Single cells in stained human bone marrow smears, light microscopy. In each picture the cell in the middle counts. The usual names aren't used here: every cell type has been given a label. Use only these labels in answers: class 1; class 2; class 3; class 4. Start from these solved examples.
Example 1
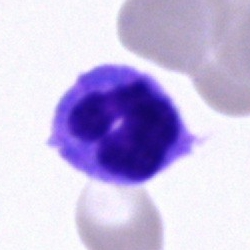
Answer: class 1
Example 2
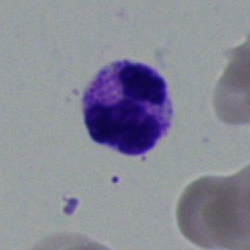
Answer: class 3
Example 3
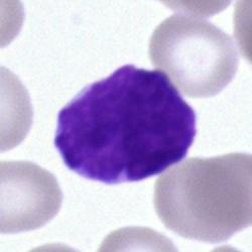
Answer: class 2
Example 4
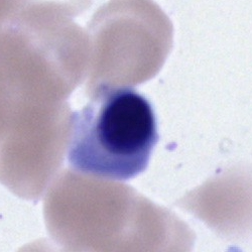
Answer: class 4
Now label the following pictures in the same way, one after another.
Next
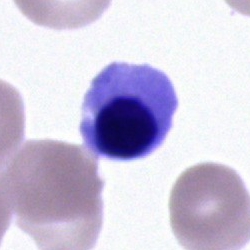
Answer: class 4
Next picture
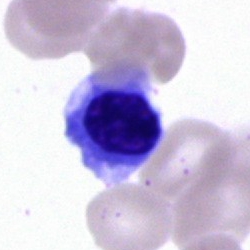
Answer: class 4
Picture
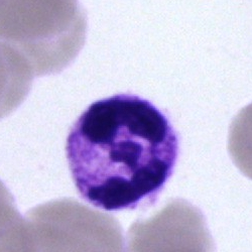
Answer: class 3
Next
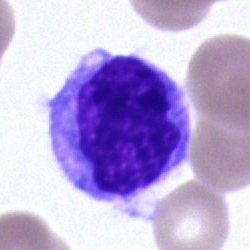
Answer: class 1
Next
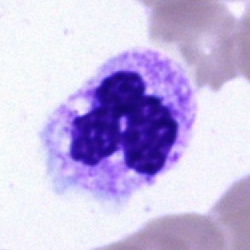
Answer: class 3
